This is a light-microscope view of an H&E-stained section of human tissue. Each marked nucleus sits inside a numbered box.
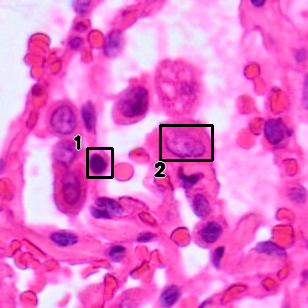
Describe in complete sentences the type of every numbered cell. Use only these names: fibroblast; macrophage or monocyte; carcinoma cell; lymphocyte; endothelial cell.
Cell 1 is a lymphocyte. Cell 2 is a macrophage or monocyte.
